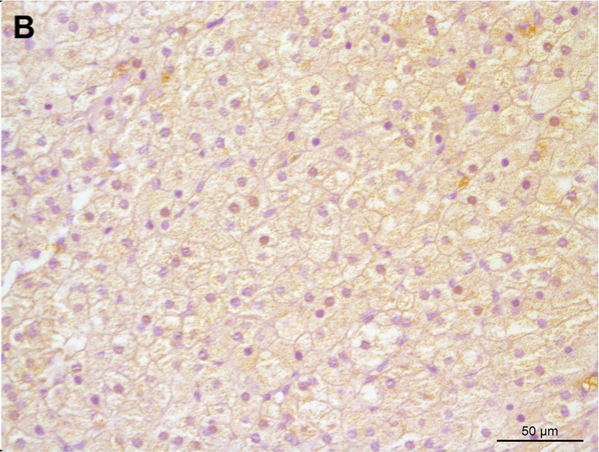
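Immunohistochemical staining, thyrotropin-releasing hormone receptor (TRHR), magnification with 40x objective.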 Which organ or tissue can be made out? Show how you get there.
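Zona fasciculata. Large polygonal cells with round central nuclei. Pale, finely vacuolated cytoplasm.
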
